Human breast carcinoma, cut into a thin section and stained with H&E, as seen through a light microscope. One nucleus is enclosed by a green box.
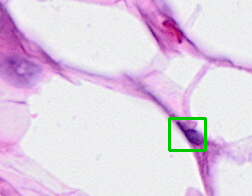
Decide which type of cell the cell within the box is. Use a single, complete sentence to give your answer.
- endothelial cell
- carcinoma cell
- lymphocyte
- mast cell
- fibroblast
To be brief about it, the cell within the box is a fibroblast.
